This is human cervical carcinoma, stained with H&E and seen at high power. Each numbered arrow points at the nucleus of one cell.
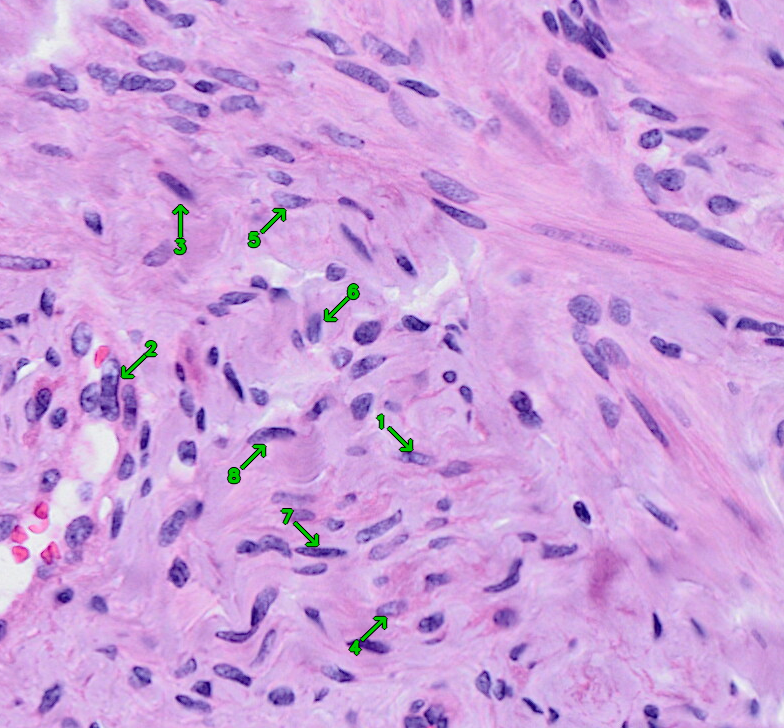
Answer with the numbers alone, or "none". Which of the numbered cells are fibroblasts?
3, 6, 7, 8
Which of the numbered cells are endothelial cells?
2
